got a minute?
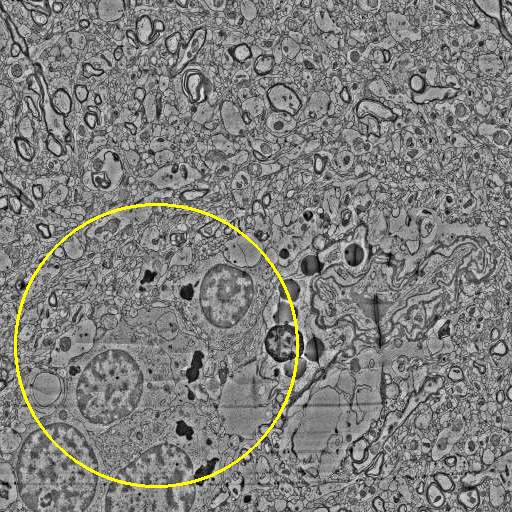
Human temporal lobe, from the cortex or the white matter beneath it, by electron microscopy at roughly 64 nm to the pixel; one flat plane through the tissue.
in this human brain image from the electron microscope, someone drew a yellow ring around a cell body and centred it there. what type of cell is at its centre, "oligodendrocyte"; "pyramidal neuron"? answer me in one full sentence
It's an oligodendrocyte at the middle of that yellow ring in the shot.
